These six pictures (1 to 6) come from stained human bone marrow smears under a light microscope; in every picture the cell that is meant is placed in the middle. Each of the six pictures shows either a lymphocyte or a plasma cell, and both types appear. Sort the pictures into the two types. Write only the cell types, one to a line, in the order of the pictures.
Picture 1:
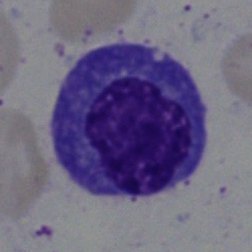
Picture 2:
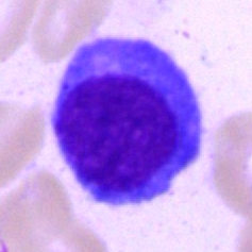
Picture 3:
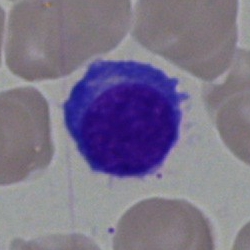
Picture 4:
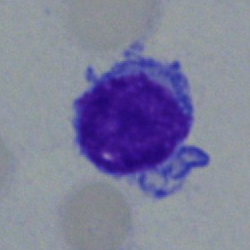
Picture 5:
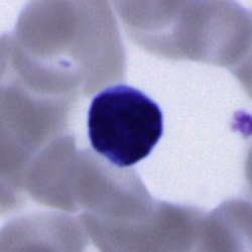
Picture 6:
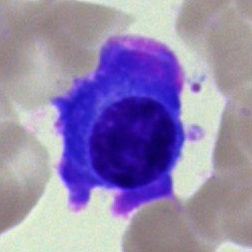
plasma cell
plasma cell
plasma cell
lymphocyte
lymphocyte
plasma cell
